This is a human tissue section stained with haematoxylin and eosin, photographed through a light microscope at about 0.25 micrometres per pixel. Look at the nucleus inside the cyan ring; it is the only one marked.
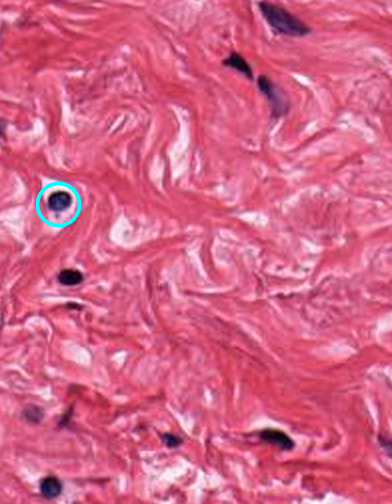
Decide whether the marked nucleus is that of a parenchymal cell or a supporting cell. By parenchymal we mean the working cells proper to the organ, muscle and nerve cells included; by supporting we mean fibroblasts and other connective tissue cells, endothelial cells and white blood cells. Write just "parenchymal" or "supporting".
supporting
